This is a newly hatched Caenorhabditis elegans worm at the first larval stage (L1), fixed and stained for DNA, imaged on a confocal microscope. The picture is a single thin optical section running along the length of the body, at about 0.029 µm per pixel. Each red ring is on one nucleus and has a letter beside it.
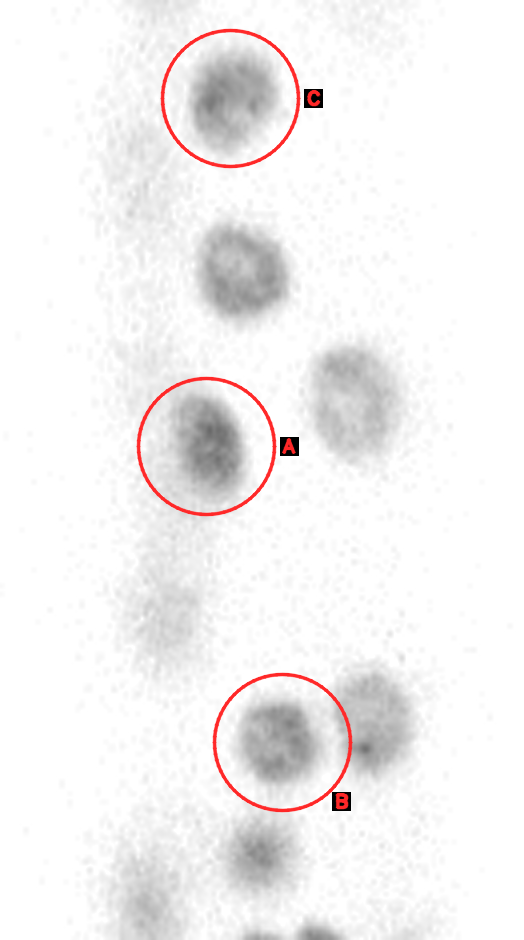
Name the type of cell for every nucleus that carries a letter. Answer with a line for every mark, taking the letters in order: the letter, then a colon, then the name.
A: P cell (ventral epidermal blast cell)
B: seam cell
C: P cell (ventral epidermal blast cell)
